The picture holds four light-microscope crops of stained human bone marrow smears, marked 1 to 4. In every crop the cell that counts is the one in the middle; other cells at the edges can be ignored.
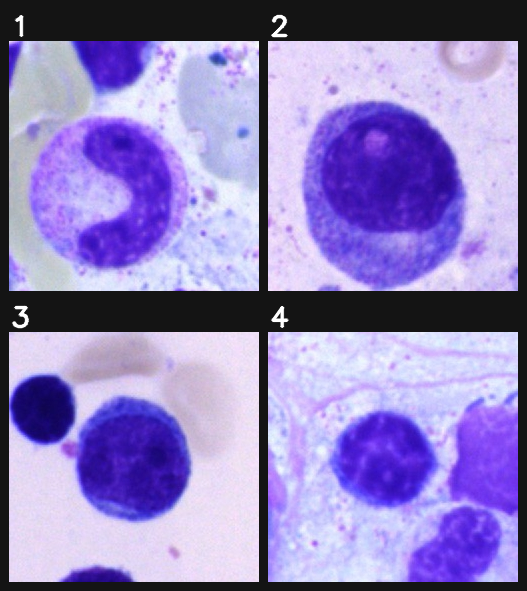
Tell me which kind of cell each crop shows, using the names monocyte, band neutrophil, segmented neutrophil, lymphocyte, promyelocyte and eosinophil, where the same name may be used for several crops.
1: band neutrophil
2: promyelocyte
3: lymphocyte
4: lymphocyte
